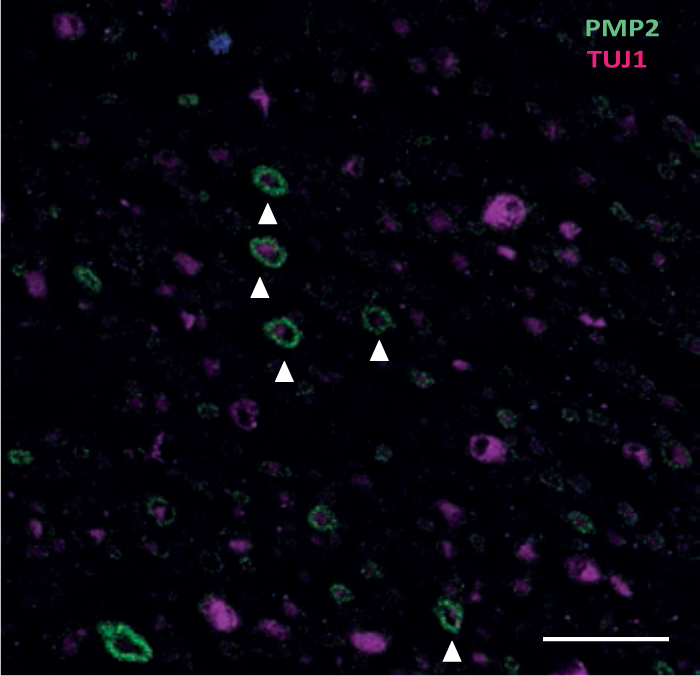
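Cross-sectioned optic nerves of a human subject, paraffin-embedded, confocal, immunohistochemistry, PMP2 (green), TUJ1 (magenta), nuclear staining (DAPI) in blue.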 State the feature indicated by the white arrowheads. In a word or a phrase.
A: Myelin sheaths.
